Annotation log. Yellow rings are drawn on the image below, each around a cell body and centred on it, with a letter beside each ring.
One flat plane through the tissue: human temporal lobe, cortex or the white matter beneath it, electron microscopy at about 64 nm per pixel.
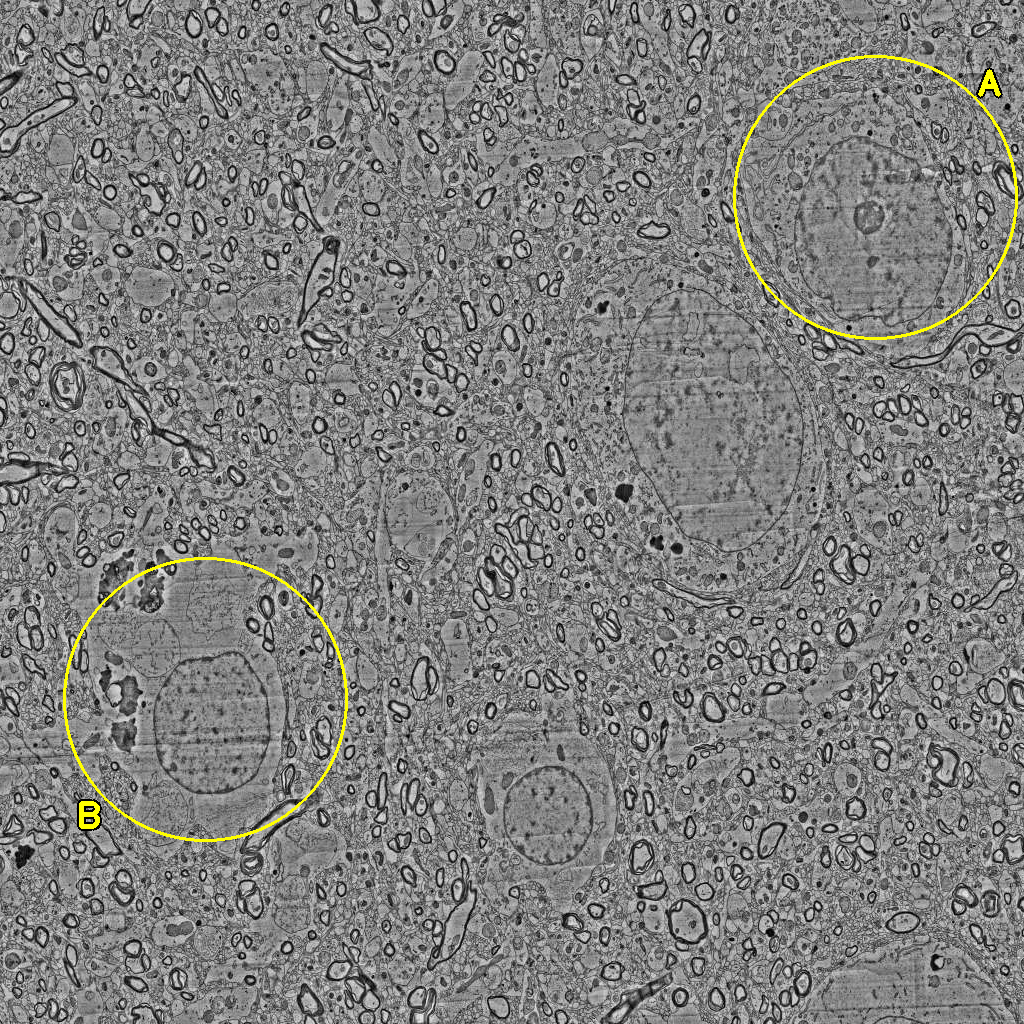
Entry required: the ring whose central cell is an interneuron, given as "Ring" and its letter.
Ring A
